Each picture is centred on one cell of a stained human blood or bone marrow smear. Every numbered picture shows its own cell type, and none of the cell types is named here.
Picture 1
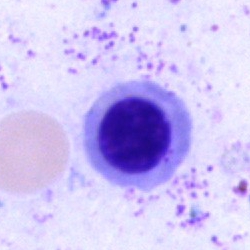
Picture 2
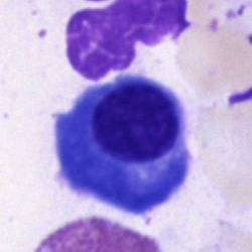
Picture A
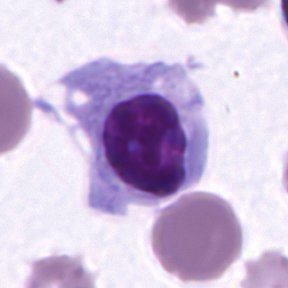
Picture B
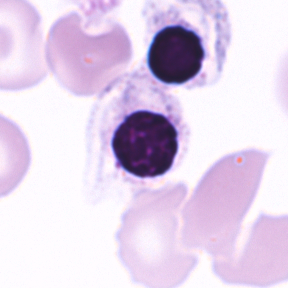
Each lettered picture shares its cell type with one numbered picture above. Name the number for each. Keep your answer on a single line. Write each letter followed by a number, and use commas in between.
A 2, B 1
